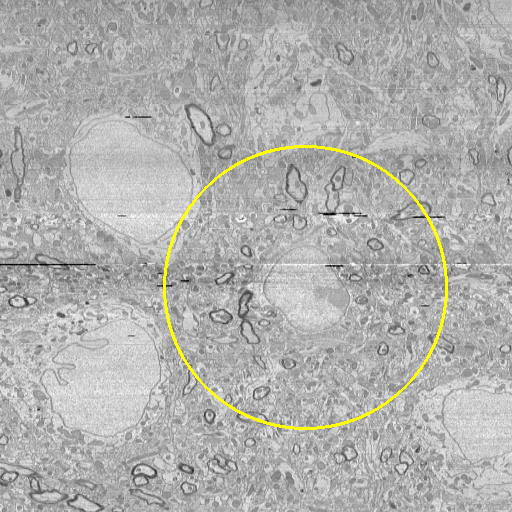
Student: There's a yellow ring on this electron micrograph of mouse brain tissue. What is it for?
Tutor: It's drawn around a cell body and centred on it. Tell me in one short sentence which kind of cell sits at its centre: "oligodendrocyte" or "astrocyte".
The cell at the centre of the ring is an astrocyte.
